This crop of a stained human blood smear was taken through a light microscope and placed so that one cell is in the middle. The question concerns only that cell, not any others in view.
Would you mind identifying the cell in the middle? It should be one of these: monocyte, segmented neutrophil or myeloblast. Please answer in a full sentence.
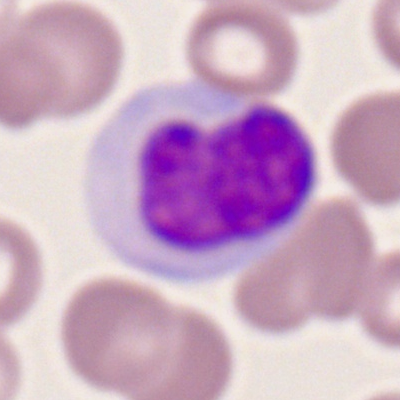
The cell of interest, in the center, is a monocyte.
